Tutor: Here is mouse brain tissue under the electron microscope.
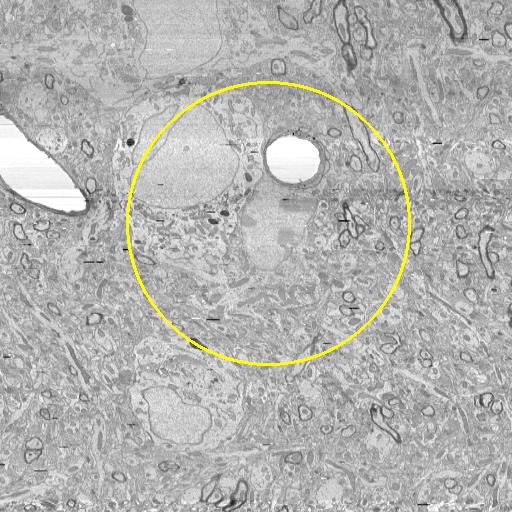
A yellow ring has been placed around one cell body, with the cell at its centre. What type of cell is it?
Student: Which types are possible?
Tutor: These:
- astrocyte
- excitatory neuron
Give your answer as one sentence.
What the ring picks out here is an astrocyte.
